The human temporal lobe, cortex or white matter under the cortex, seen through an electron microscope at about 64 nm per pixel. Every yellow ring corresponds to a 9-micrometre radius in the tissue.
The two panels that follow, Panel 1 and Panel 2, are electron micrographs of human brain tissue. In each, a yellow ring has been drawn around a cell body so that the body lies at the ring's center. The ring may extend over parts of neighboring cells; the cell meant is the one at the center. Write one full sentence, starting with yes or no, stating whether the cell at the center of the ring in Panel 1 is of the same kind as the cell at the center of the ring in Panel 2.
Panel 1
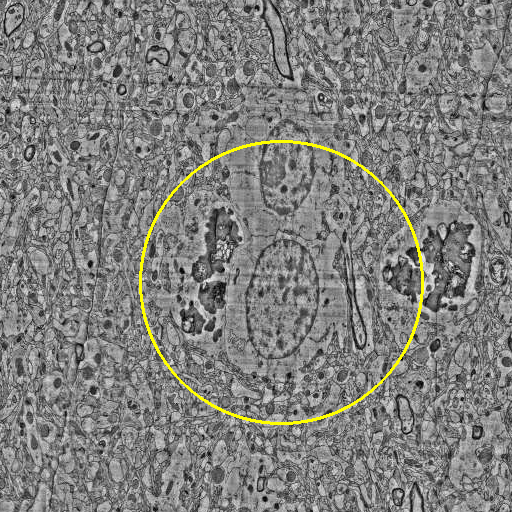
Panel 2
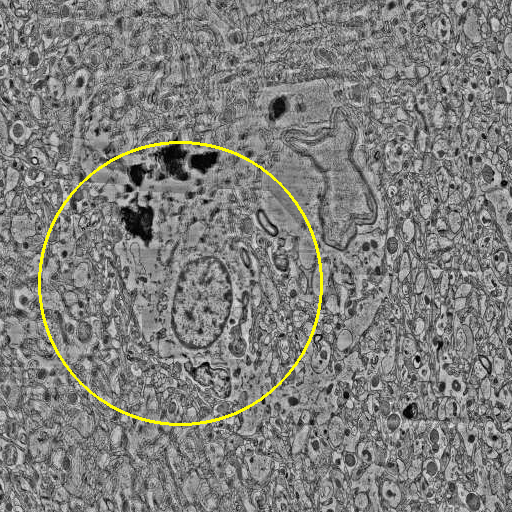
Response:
Yes, the cells in both panels are of the same kind.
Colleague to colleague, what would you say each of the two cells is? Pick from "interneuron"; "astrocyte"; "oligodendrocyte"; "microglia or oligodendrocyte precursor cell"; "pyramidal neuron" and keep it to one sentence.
The cell in the first picture is an astrocyte, and so is the one in the second.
